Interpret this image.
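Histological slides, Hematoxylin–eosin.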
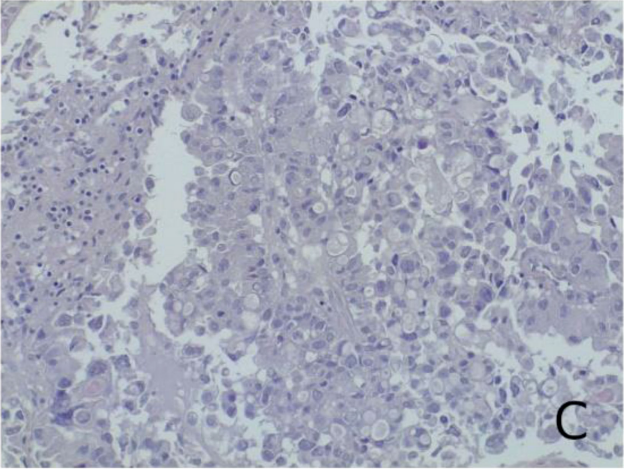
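Glandular neoplasm made of loosely cohesive pleomorphic tumour cells with nuclei of varying size and shape. Many cells contain clear round cytoplasmic vacuoles, and the cells border open spaces.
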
